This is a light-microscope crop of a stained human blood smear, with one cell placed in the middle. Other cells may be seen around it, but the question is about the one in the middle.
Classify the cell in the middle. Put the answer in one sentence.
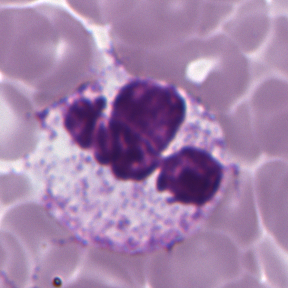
The cell at the middle of the frame should be recorded as a segmented neutrophil.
